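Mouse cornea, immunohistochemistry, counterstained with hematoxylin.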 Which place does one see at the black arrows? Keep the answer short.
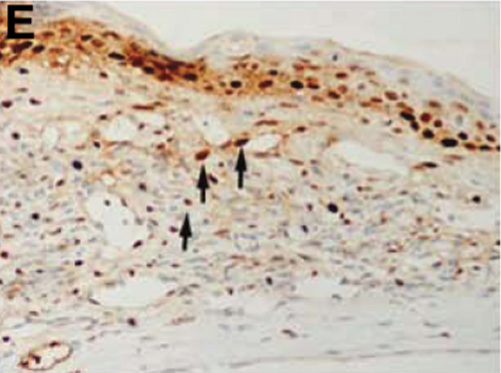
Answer: stroma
